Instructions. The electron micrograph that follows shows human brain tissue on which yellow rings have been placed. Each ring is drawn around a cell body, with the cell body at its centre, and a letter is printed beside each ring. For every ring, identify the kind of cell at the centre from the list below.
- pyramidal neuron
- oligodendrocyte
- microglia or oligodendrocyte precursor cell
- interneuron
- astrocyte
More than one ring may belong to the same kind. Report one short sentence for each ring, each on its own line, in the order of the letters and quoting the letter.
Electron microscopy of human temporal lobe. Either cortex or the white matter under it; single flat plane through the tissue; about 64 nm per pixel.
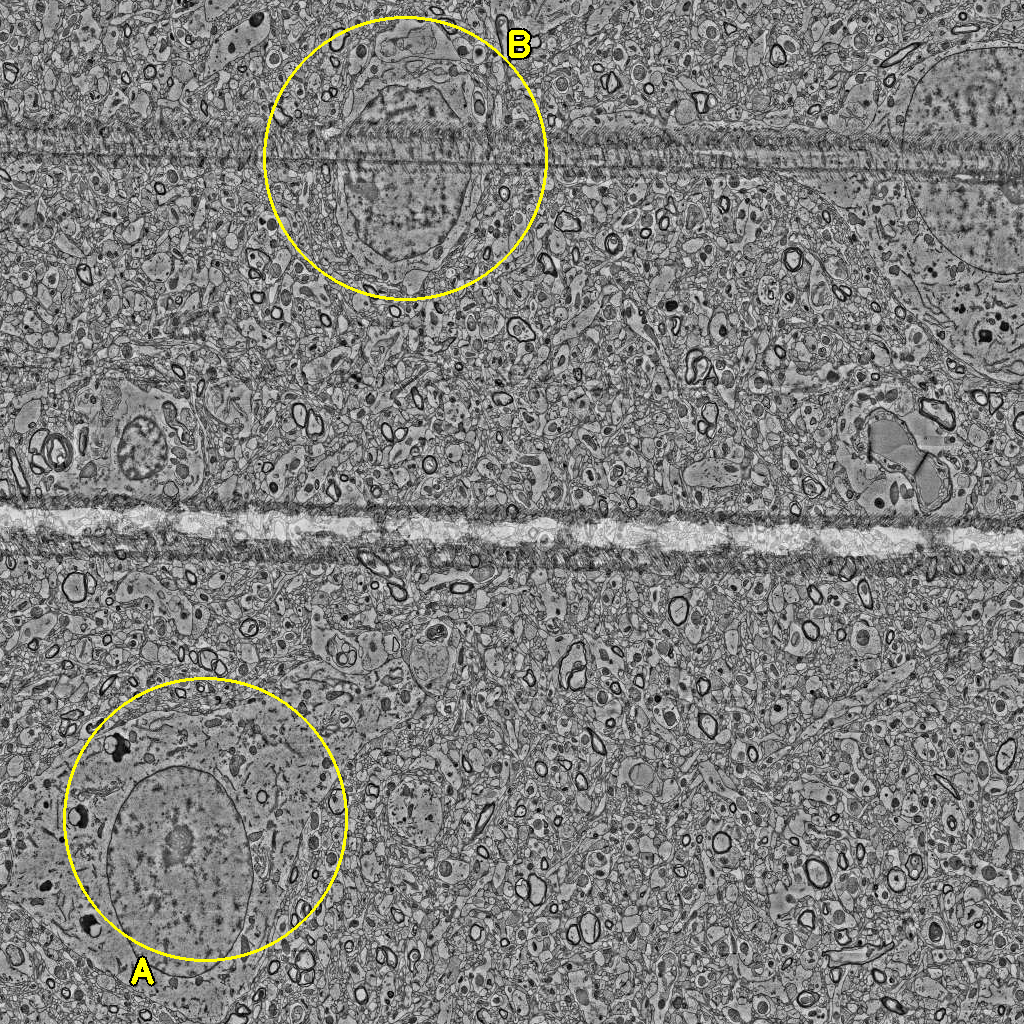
The centre of ring A is occupied by a pyramidal neuron.
The centre of ring B is occupied by an interneuron.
